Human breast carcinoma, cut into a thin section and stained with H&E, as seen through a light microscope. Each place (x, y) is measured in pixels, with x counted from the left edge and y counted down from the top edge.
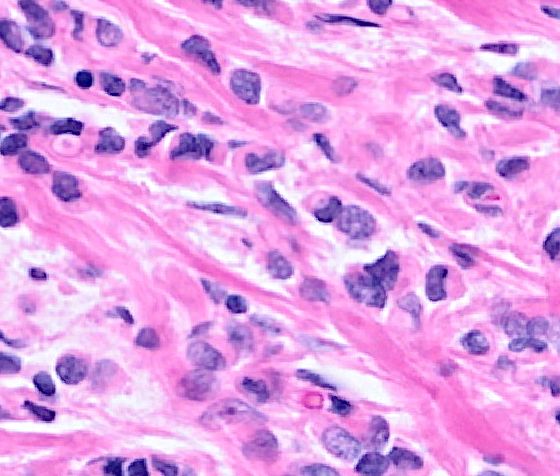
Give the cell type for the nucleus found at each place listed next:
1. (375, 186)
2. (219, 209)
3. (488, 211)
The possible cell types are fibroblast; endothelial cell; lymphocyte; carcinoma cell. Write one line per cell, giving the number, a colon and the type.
1: fibroblast
2: fibroblast
3: endothelial cell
